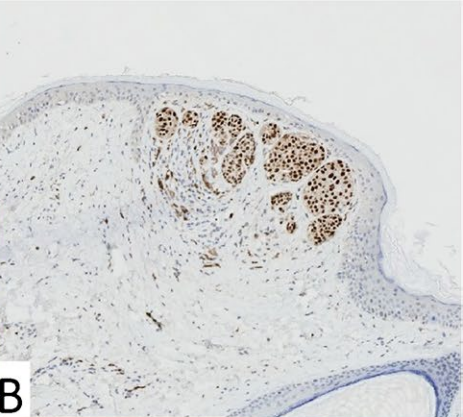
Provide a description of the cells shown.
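Skin in which several rounded nests of melanocytes in the upper dermis, just under the epidermis, show strong brown staining of nearly all their nuclei. The epidermis and the deeper dermis stay blue, with only scattered single brown nuclei below the nests.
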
